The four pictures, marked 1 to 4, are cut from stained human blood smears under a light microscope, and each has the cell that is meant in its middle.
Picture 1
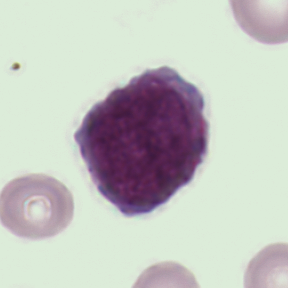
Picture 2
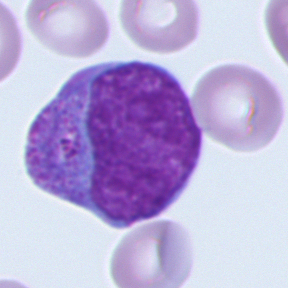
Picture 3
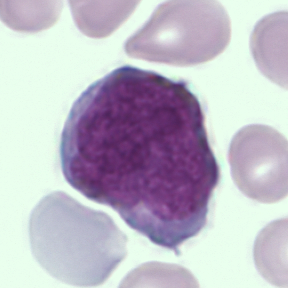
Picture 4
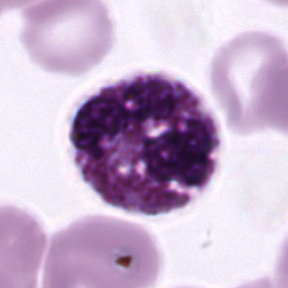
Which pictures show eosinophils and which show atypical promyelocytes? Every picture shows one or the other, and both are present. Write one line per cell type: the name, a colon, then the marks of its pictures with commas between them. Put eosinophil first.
eosinophil: 4
atypical promyelocyte: 1, 2, 3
